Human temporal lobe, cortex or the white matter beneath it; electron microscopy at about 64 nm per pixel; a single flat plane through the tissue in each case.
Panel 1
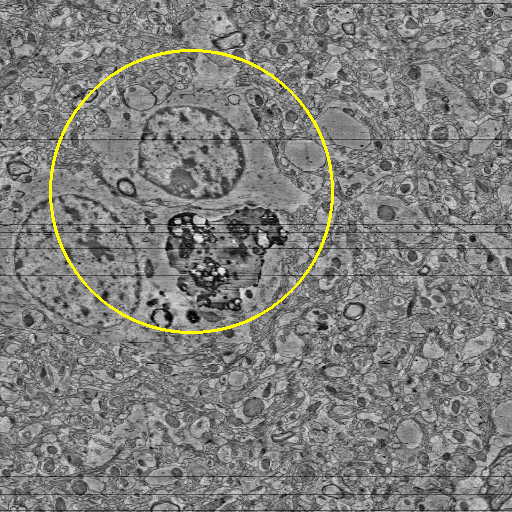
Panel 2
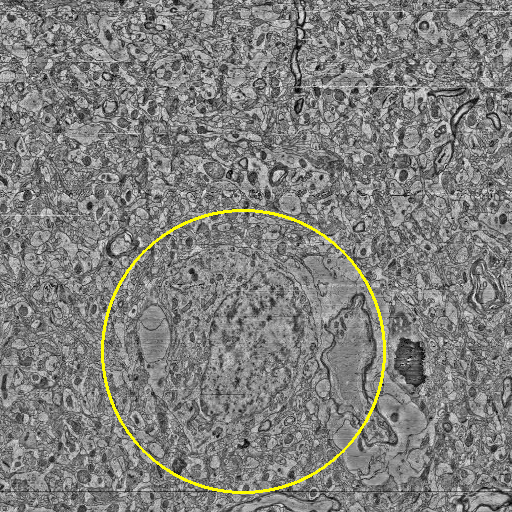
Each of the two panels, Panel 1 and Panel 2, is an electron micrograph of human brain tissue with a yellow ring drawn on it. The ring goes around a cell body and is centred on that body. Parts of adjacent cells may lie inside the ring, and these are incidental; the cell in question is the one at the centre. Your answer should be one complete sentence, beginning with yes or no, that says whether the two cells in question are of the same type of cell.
No, the two cells are of two types.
